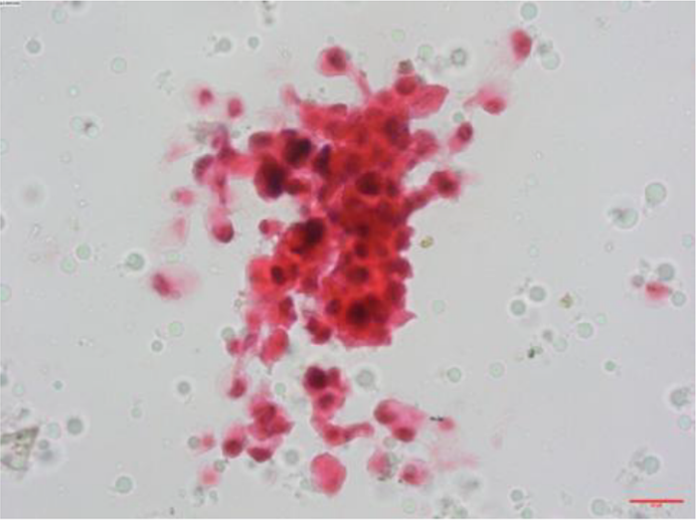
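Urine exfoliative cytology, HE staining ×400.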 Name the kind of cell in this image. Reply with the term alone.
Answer: Suspicious cancer cells.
